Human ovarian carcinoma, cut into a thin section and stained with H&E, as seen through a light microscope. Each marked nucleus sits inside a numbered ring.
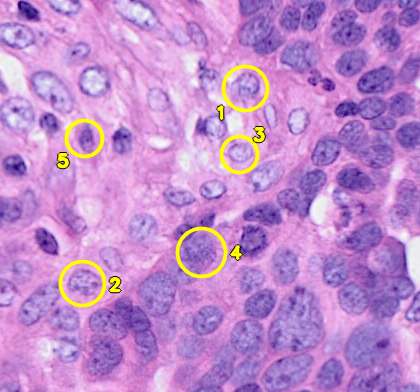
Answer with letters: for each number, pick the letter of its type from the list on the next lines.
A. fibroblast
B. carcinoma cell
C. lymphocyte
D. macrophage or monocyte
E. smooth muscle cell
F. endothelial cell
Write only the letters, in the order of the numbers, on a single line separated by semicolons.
A; A; A; B; D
